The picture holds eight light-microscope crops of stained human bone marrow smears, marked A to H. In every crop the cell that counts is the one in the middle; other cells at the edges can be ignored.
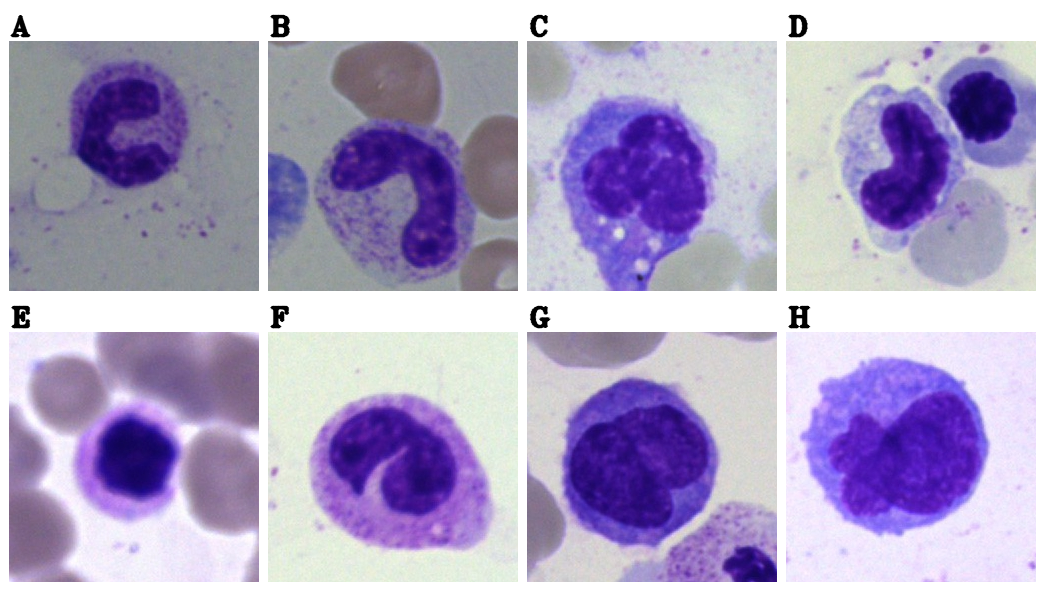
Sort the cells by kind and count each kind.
band neutrophil: 3
monocyte: 3
segmented neutrophil: 2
